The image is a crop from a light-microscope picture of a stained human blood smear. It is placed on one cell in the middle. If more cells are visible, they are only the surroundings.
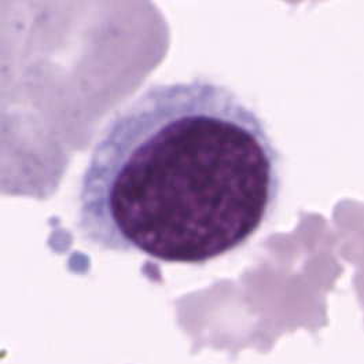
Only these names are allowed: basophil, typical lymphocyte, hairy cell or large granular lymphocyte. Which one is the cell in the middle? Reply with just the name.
hairy cell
